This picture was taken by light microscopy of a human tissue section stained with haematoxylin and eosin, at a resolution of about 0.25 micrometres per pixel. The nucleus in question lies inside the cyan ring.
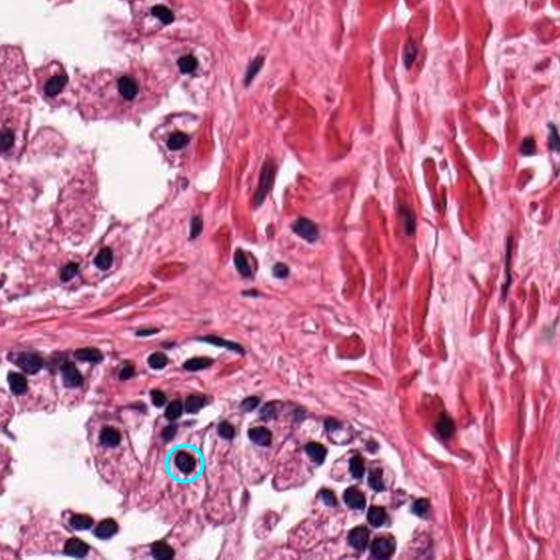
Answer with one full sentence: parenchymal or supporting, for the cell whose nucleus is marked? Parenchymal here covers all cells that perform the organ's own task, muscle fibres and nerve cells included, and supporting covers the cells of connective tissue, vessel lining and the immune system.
The marked nucleus is carried by a parenchymal cell, namely a prostate gland luminal cell.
